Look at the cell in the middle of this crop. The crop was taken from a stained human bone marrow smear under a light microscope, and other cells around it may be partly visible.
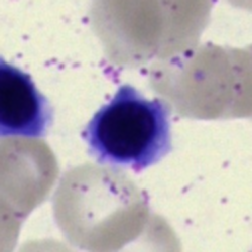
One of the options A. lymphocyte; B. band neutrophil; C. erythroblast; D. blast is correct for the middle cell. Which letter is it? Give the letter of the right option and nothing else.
C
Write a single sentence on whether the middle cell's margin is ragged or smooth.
Because its outline is ragged or drawn out into projections, the cell lacks a smooth border.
